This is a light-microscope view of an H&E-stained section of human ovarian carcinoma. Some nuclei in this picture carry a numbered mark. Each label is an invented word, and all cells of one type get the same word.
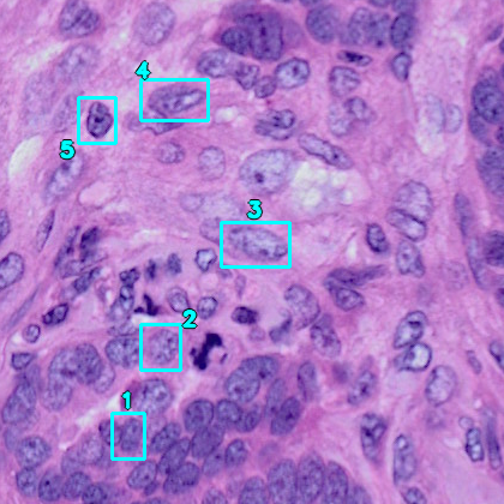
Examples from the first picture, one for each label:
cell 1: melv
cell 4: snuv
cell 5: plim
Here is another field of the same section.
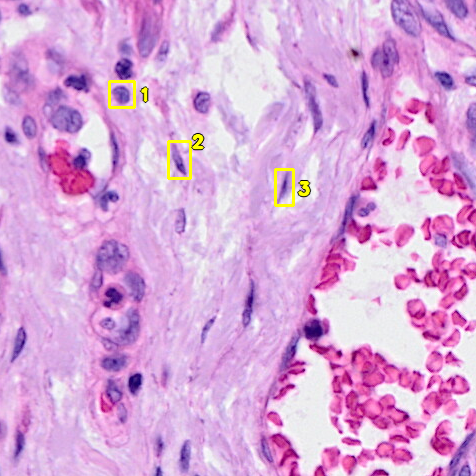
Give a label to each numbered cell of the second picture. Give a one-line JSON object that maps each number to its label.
{"1": "plim", "2": "snuv", "3": "snuv"}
